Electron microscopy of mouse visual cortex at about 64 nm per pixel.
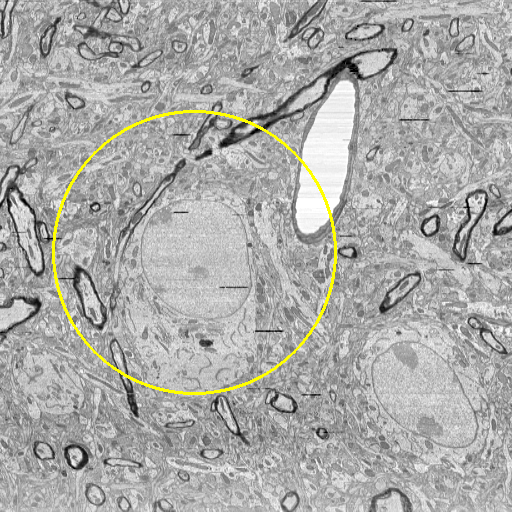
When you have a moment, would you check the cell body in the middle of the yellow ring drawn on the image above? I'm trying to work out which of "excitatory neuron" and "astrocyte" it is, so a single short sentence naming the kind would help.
This cell body belongs to an excitatory neuron.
